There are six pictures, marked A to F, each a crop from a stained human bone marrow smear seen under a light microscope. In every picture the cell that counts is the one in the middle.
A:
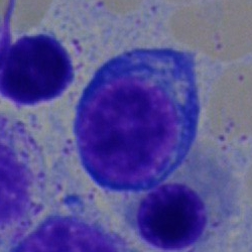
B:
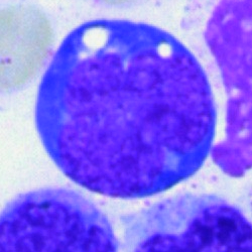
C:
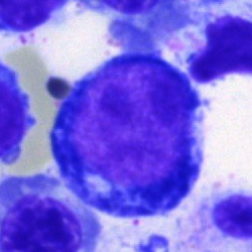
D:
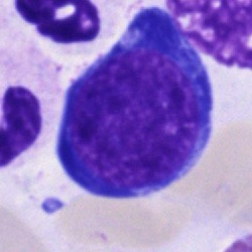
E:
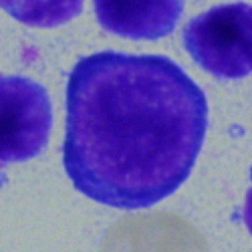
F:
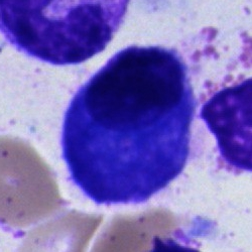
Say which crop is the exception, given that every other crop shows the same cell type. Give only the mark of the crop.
F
